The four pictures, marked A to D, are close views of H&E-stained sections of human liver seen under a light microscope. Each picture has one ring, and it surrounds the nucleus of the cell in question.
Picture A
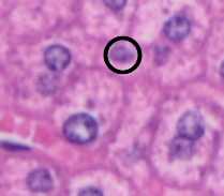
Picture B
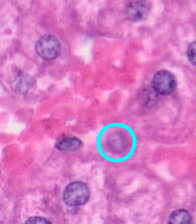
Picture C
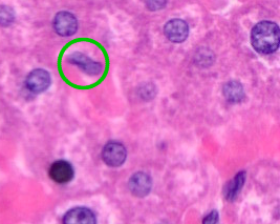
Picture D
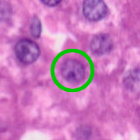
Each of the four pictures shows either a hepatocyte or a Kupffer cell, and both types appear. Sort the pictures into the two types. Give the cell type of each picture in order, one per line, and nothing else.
Kupffer cell
hepatocyte
Kupffer cell
hepatocyte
